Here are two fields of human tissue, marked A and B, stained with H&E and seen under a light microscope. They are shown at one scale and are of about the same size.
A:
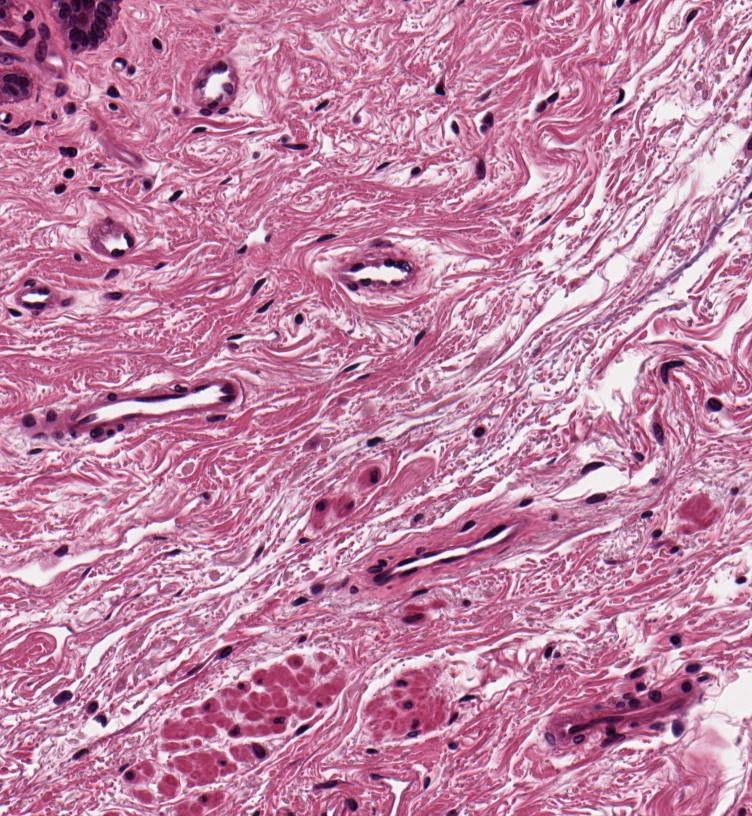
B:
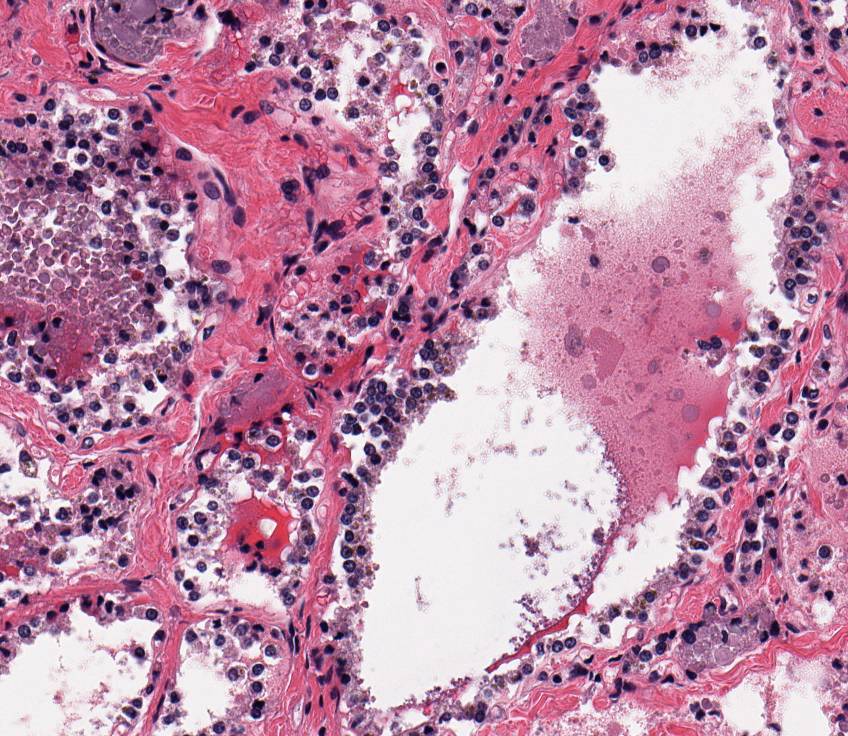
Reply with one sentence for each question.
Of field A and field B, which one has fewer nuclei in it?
There are fewer nuclei in field A.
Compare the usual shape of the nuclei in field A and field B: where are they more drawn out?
Longer, more slender nuclei lie in field A.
